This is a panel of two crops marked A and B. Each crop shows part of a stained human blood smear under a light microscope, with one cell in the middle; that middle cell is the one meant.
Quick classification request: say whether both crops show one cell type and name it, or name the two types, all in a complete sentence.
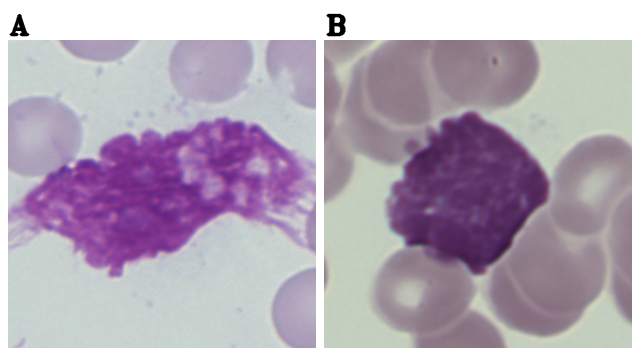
Yes, the two crops show smudge cells at their centres.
